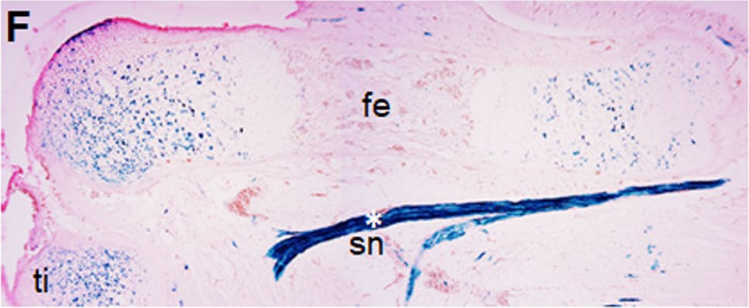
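This is a section of a developing long bone of the leg, with chondrocytes in its cartilaginous ends stained as small blue dots scattered through pale matrix, while the middle of the shaft is mostly unstained. Alongside the bone runs a long, cord-like nerve bundle that is stained intensely and evenly blue. A second bone at the lower left shows the same dotted blue chondrocytes.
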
